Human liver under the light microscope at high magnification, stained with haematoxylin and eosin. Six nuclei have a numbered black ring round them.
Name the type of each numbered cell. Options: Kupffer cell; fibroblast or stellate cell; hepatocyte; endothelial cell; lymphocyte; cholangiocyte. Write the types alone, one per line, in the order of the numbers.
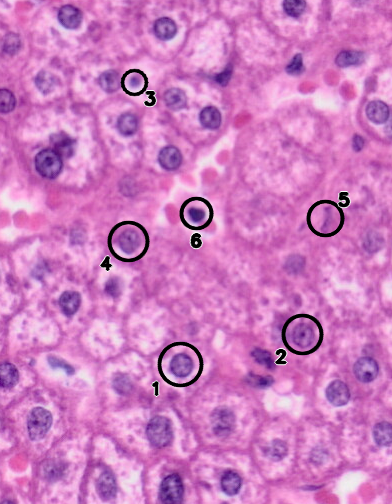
hepatocyte
hepatocyte
lymphocyte
hepatocyte
endothelial cell
lymphocyte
